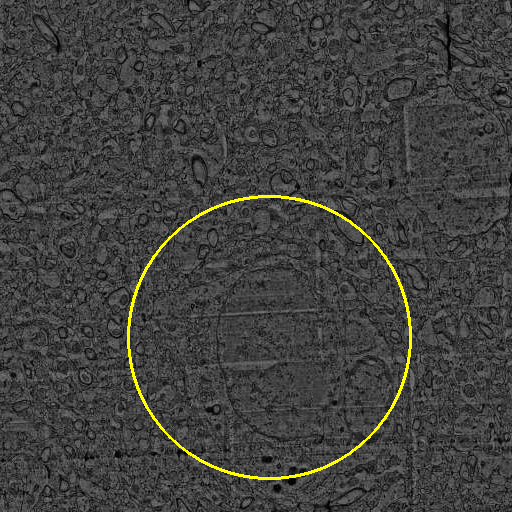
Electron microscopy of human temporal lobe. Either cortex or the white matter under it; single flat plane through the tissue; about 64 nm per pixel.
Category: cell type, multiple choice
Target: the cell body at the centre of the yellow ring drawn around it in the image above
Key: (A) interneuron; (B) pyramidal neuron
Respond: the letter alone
B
